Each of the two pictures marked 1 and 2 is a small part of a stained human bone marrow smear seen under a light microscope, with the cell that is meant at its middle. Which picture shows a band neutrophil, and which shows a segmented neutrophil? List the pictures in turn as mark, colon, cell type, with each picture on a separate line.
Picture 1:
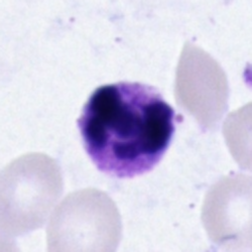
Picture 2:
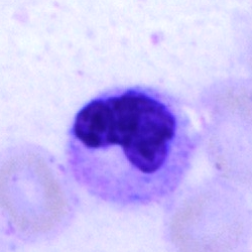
1: segmented neutrophil
2: band neutrophil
